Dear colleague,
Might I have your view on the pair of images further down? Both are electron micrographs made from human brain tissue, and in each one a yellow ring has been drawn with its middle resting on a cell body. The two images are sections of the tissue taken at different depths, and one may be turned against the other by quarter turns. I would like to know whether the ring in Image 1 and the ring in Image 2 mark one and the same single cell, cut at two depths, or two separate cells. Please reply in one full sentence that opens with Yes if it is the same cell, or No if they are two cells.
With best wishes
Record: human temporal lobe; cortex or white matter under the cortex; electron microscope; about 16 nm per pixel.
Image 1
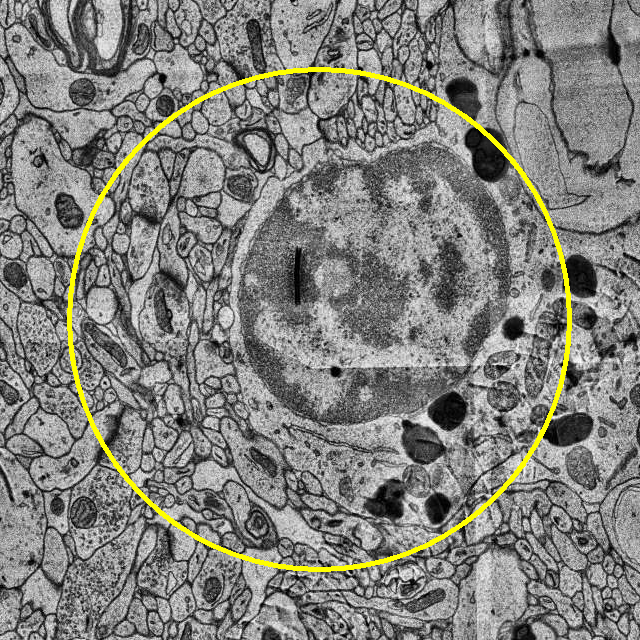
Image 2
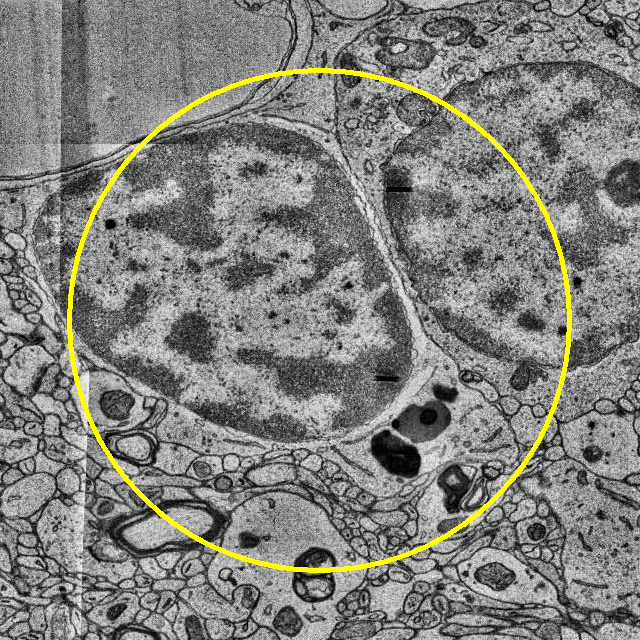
Yes, the two marked outlines come from one and the same cell.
